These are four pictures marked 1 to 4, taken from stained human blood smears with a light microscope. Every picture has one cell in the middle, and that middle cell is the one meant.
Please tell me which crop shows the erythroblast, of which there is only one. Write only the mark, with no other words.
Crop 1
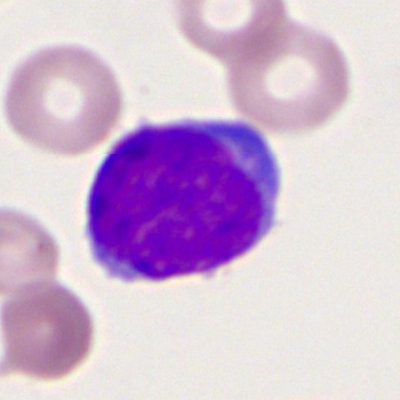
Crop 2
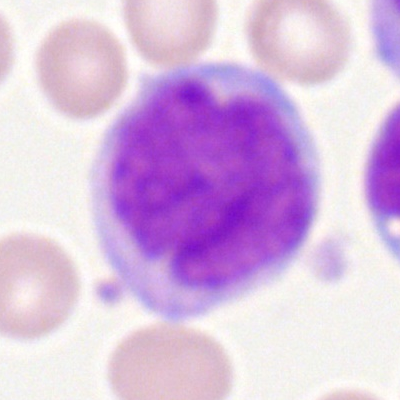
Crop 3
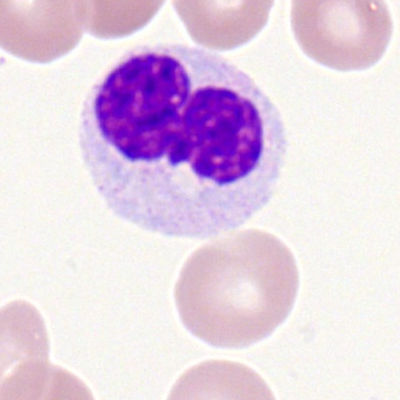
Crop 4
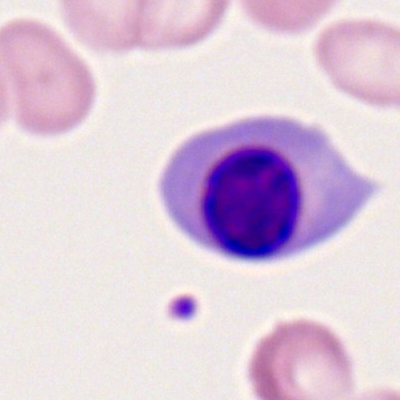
4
